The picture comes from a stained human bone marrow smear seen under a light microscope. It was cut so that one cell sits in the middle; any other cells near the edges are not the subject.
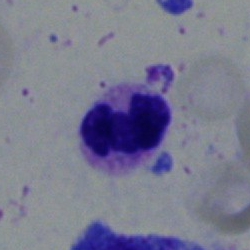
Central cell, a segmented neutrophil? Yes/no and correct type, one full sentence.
Yes, the cell lying in the middle is a segmented neutrophil.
